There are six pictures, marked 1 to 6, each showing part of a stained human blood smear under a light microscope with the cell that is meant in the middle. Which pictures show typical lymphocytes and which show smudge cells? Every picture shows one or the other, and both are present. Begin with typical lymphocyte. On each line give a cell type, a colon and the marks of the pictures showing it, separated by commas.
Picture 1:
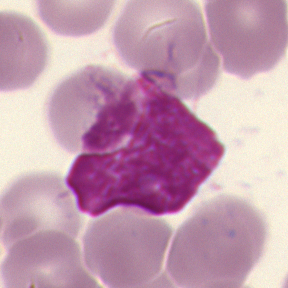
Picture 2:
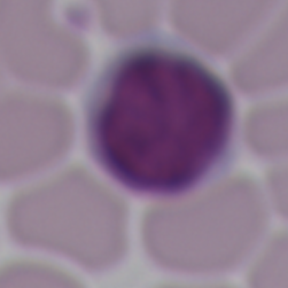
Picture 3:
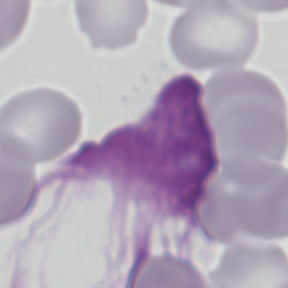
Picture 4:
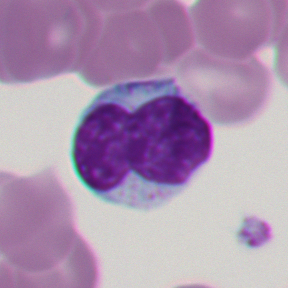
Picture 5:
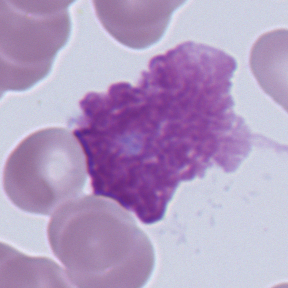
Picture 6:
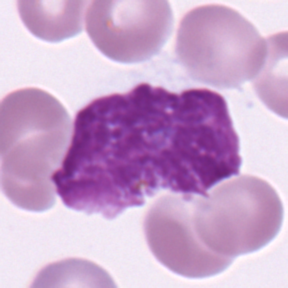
typical lymphocyte: 2, 4
smudge cell: 1, 3, 5, 6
